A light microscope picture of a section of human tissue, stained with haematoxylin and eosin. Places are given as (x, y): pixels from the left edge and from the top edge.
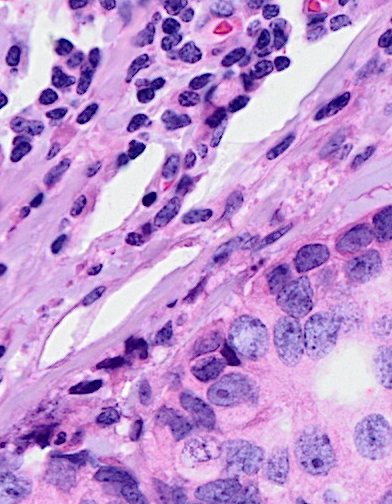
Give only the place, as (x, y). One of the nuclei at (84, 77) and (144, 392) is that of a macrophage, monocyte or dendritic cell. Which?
(144, 392)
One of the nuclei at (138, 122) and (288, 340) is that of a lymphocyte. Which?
(138, 122)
